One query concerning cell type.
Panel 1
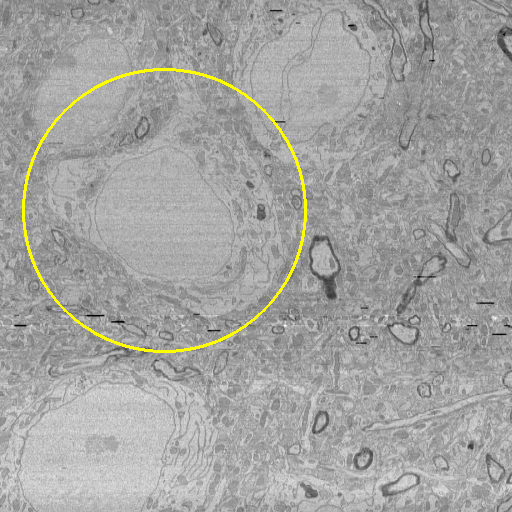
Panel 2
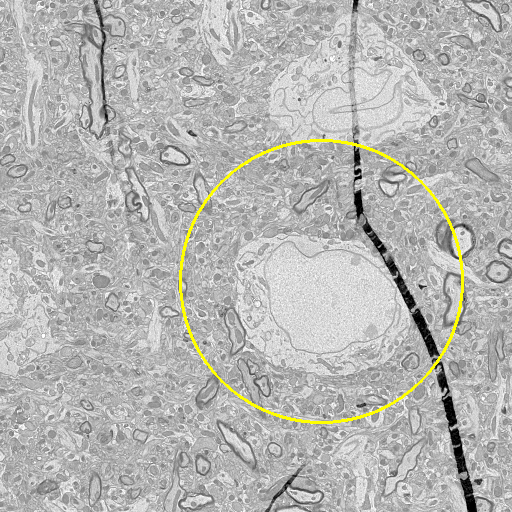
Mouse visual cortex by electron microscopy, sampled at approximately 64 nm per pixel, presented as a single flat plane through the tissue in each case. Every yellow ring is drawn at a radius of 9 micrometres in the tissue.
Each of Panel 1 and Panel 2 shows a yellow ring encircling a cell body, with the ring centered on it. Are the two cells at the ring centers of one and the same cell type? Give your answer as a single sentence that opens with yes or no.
Yes, the cell centered in Panel 1 and the one in Panel 2 share a type.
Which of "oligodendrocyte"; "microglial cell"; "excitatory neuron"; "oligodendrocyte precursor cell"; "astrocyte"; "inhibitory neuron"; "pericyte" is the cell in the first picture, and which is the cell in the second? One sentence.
Each one of the two ringed cells is an excitatory neuron.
